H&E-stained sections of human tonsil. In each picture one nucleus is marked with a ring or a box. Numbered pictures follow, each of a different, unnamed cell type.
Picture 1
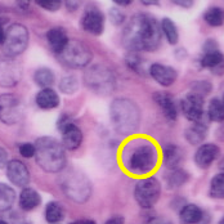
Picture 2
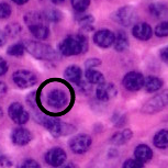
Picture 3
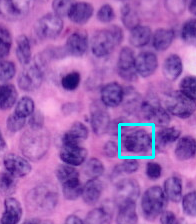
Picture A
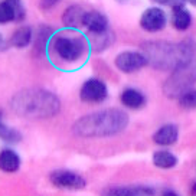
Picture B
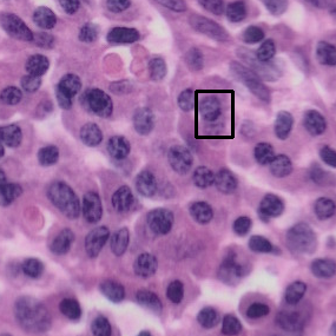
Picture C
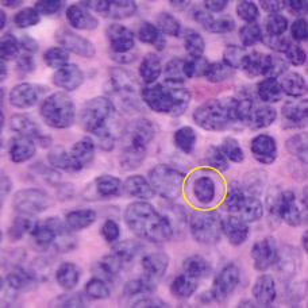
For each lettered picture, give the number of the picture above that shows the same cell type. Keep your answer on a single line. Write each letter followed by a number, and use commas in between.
A 1, B 2, C 3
